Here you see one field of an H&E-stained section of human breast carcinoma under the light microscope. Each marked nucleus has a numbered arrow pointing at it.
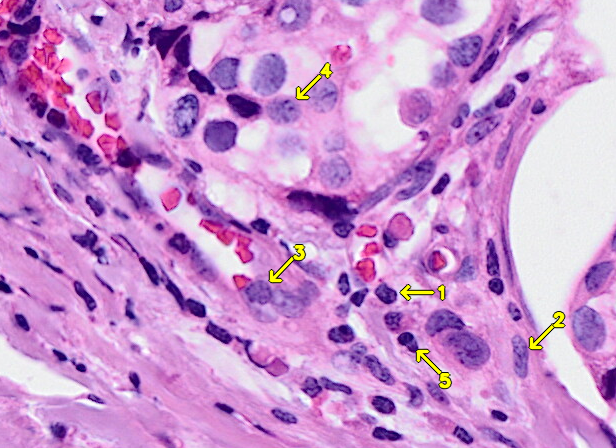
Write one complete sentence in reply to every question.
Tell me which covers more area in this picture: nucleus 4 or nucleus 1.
Nucleus 4 is larger, with an area about 2 times that of nucleus 1.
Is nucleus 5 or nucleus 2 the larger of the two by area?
At about 2 times the area of nucleus 5, nucleus 2 is the larger of the two.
